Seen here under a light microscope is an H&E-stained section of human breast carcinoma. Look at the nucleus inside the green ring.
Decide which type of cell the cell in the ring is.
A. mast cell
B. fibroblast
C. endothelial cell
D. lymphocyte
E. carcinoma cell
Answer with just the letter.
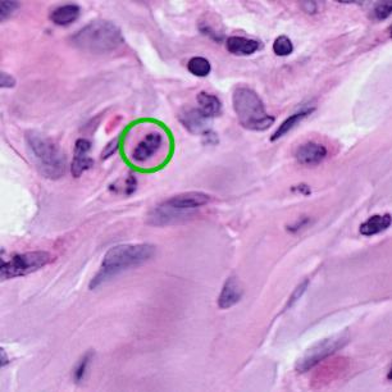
A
